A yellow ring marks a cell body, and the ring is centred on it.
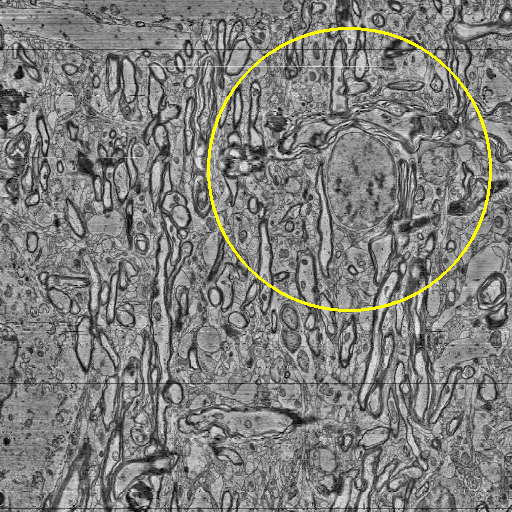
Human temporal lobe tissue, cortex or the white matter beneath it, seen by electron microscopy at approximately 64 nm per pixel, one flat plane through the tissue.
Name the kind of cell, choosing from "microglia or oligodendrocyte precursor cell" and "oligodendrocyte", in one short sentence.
The marked cell body belongs to a microglial cell or oligodendrocyte precursor cell.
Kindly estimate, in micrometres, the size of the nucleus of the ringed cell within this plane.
Roughly 7 by 5 micrometres in this plane, for the nucleus of the ringed cell.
